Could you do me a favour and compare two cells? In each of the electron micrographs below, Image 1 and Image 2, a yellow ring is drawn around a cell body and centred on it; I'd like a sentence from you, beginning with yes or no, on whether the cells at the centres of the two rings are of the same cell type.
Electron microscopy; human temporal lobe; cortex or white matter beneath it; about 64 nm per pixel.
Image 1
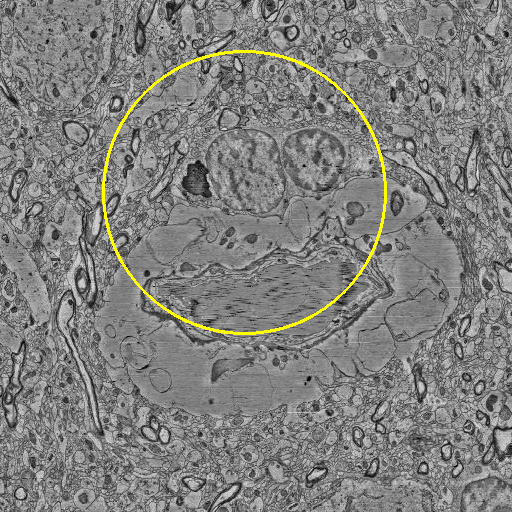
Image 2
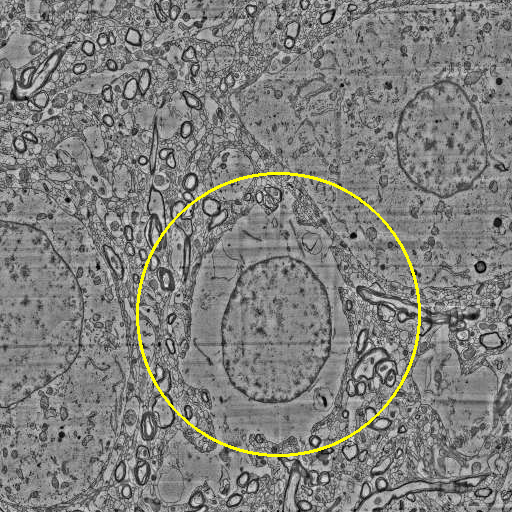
No, the two cells are of two cell types.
